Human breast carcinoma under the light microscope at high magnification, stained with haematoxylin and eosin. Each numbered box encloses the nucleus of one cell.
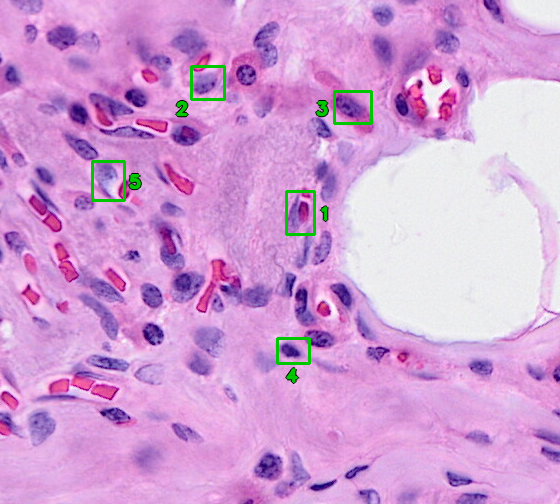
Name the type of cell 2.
endothelial cell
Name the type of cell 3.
mast cell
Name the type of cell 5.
endothelial cell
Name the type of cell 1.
endothelial cell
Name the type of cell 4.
lymphocyte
